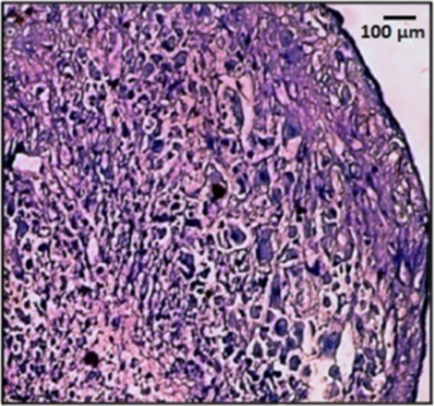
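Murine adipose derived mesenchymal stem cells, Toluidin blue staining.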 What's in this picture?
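This is a section through a compact mass of cartilage-forming cells stained in shades of purple and blue. The cells are densely packed, rounded to polygonal, with darker nuclei and paler surrounding cytoplasm or matrix, and some sit in small clear spaces. Toward the right the mass ends in a smooth, curved border lined by thin, flattened cells. Scattered pale gaps appear among the cells, and a few small dark spots stand out. The arrangement is crowded and irregular rather than in neat rows.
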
